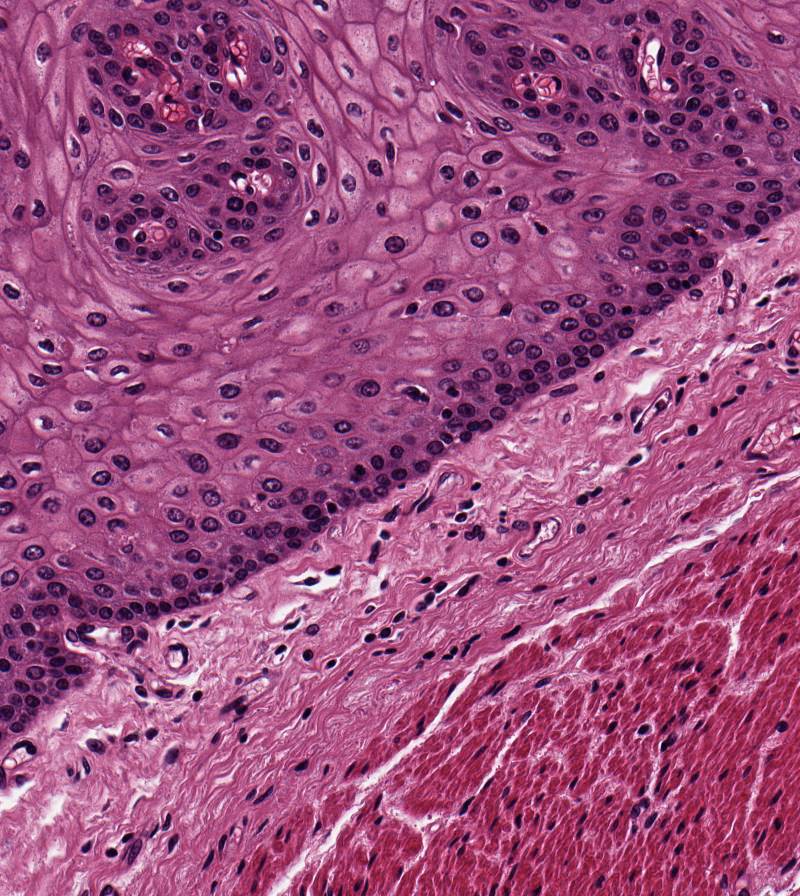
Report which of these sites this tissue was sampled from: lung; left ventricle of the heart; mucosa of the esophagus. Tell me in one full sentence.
This specimen was obtained from the mucosa of the esophagus.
